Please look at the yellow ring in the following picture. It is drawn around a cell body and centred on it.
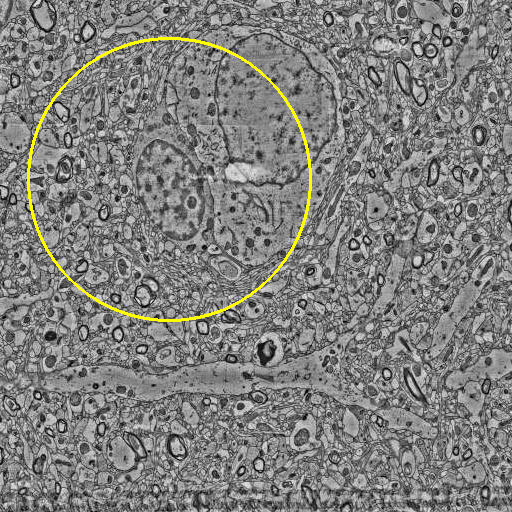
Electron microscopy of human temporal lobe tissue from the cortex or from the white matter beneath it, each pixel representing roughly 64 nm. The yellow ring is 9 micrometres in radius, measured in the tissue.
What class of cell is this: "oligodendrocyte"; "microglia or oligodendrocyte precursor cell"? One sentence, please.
The ring surrounds the cell body of an oligodendrocyte.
